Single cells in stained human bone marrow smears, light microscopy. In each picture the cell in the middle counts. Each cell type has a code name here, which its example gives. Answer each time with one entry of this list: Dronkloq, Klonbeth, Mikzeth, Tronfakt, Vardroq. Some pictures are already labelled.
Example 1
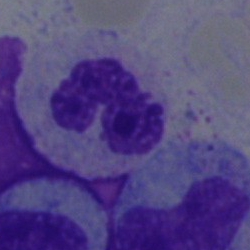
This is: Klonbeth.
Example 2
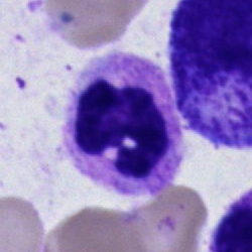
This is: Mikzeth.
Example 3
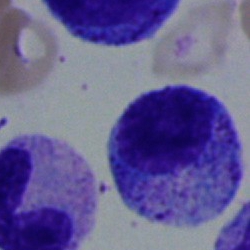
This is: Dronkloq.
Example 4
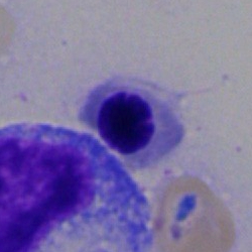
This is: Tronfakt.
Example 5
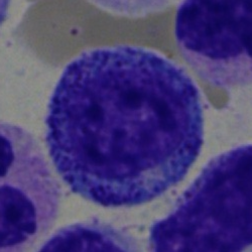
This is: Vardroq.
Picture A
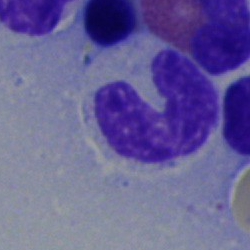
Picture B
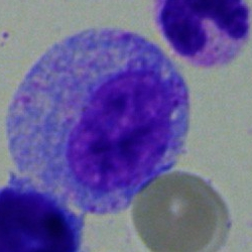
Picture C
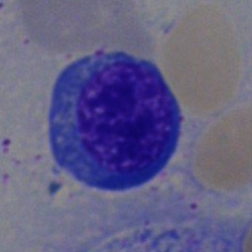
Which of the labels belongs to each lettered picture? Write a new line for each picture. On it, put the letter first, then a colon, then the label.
A: Klonbeth.
B: Dronkloq.
C: Tronfakt.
